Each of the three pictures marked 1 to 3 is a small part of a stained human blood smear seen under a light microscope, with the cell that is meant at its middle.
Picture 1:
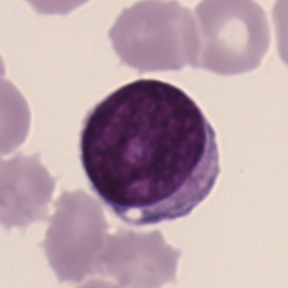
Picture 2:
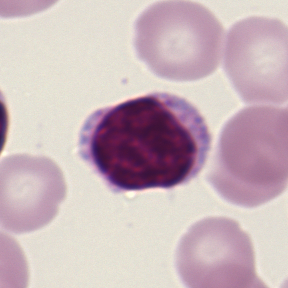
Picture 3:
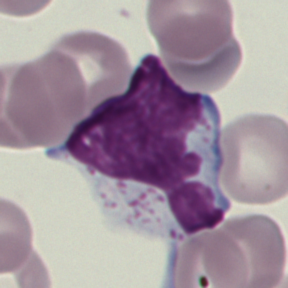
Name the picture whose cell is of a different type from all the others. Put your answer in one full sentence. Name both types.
Picture 1 differs, because its cell is a myeloblast and the rest are large granular lymphocytes.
